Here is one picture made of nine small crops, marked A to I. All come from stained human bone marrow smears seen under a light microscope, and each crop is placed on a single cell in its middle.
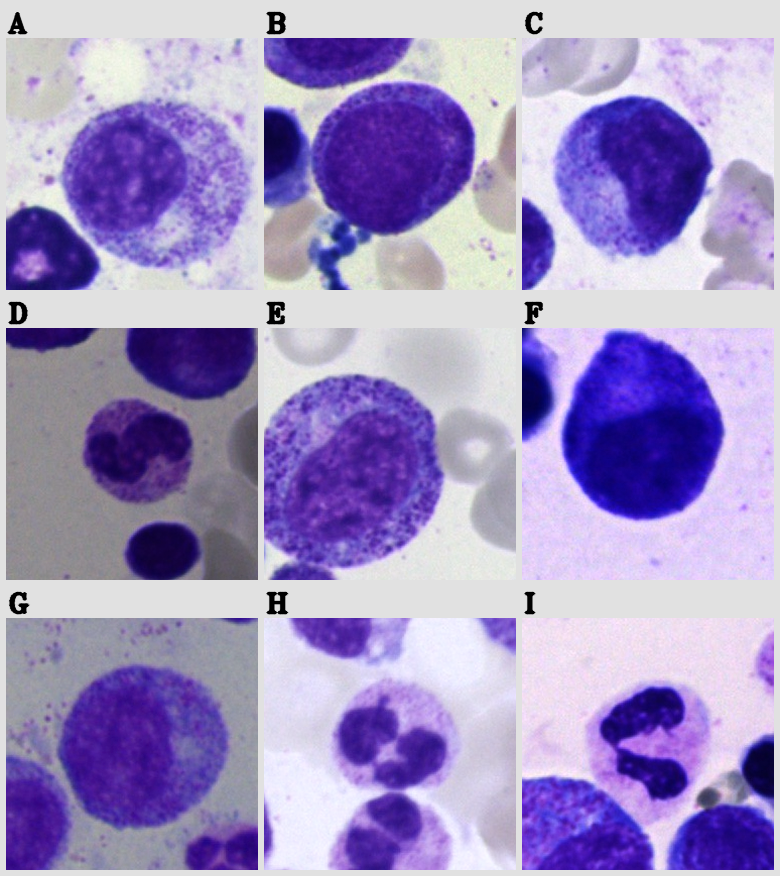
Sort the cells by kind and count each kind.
promyelocyte: 6
segmented neutrophil: 3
